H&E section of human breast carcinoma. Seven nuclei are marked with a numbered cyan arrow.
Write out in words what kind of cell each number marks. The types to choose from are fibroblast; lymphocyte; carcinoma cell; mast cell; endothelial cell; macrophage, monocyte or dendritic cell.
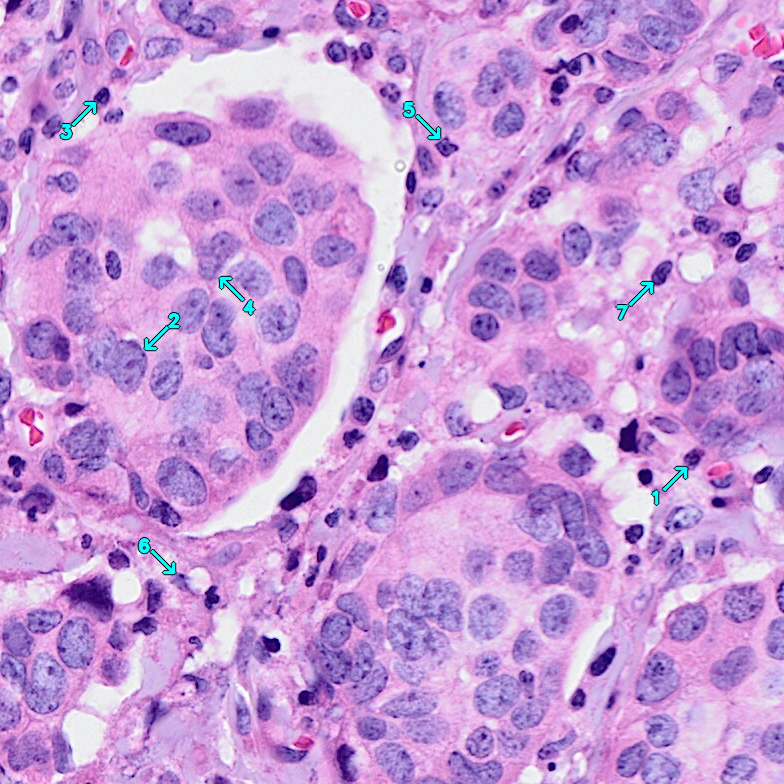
Cells 1, 3, 5 and 7 are lymphocytes. Cells 2 and 4 are carcinoma cells. Cell 6 is a macrophage, monocyte or dendritic cell.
